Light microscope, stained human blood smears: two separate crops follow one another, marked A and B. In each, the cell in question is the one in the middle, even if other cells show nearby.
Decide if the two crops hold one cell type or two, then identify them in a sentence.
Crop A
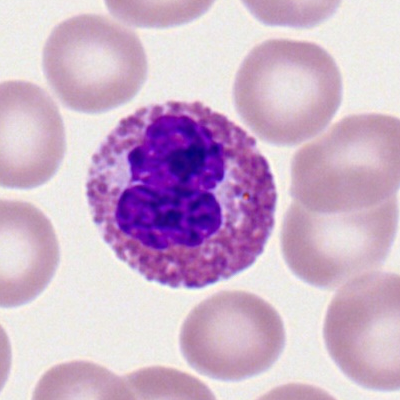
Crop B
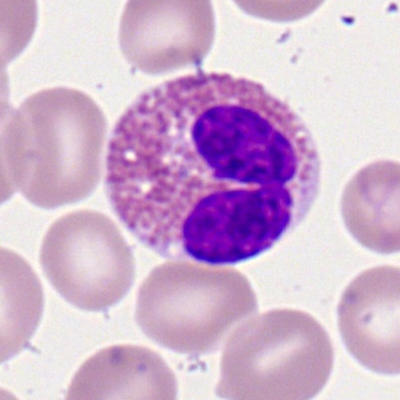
Yes, both crops show eosinophils, each crop centred on one of them.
